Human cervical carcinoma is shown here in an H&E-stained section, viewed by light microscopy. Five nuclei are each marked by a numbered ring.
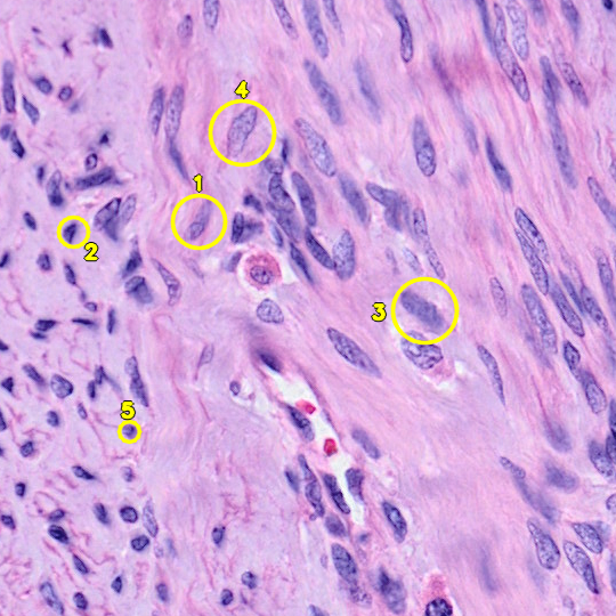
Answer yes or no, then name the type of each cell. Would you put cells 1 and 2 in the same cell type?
No, cell 1 is a smooth muscle cell and cell 2 is a fibroblast.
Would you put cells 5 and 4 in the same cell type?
Yes, both are smooth muscle cells.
